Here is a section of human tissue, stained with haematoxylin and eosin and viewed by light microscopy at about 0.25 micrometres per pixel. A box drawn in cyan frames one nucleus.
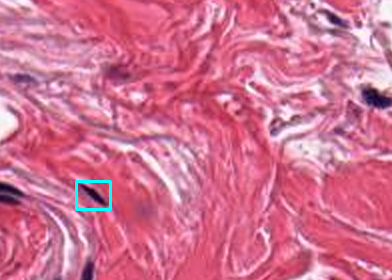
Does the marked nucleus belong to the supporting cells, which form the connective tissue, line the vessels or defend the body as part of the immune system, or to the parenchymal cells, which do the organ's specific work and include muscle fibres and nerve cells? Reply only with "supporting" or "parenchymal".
supporting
